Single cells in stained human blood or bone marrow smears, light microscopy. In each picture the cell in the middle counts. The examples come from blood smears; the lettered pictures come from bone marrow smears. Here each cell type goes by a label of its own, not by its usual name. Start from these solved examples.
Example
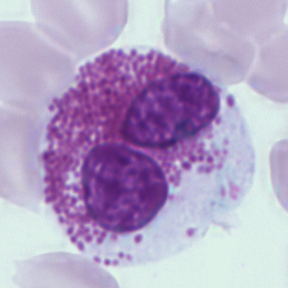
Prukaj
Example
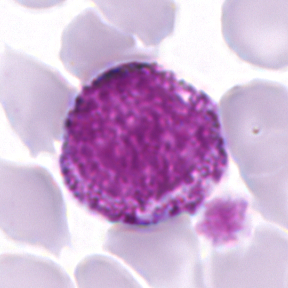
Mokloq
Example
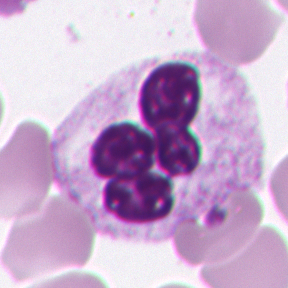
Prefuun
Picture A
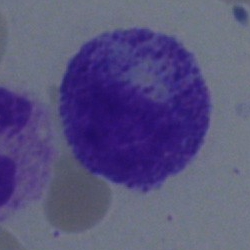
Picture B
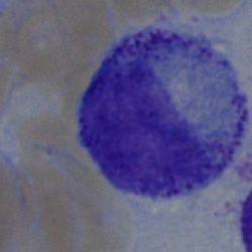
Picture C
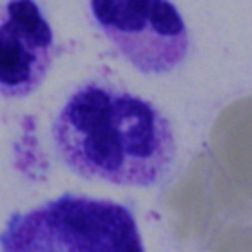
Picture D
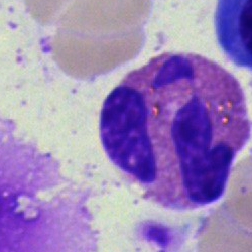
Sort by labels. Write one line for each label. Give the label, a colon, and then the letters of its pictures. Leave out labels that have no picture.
Prukaj: D
Mokloq: A, B
Prefuun: C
